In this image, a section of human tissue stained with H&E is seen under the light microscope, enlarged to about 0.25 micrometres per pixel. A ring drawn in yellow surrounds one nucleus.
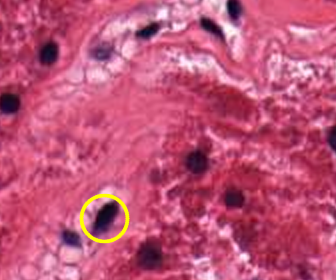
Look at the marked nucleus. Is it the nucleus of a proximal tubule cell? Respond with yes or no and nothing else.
no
